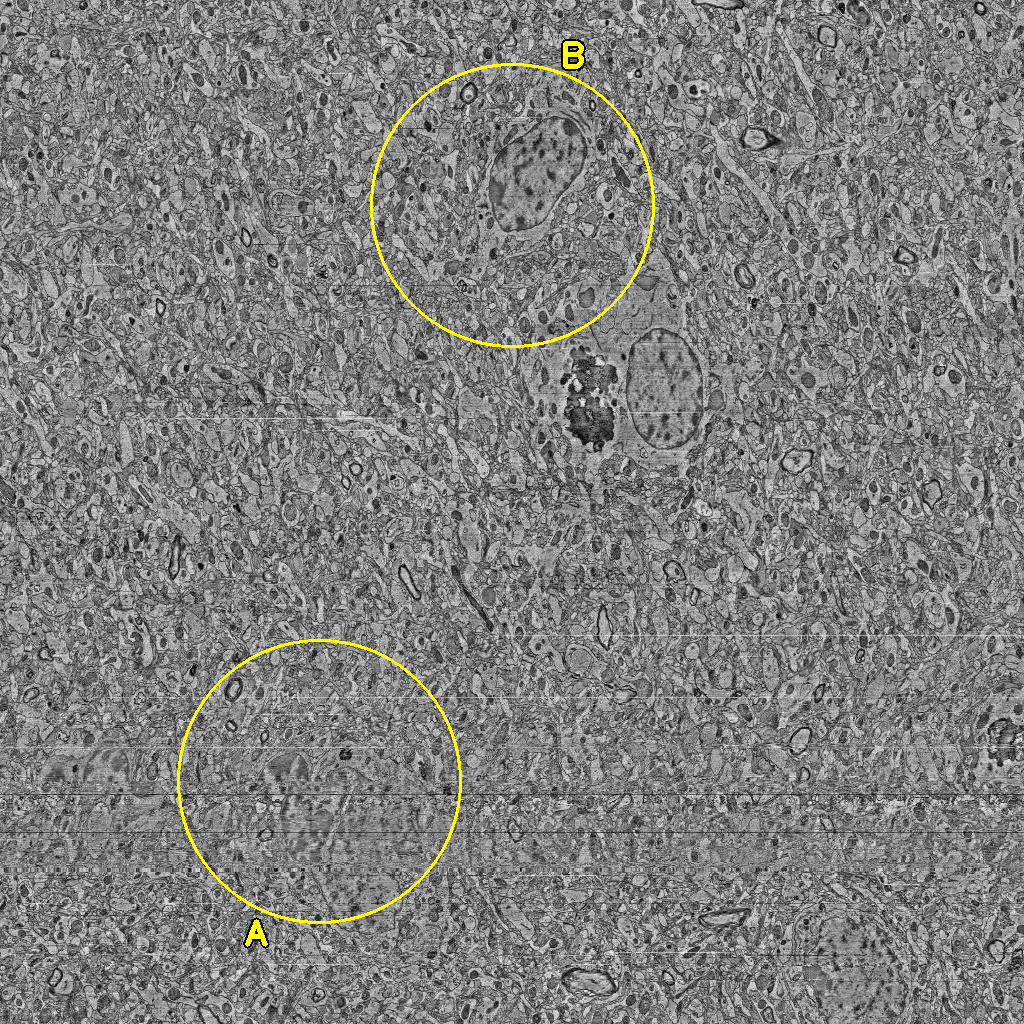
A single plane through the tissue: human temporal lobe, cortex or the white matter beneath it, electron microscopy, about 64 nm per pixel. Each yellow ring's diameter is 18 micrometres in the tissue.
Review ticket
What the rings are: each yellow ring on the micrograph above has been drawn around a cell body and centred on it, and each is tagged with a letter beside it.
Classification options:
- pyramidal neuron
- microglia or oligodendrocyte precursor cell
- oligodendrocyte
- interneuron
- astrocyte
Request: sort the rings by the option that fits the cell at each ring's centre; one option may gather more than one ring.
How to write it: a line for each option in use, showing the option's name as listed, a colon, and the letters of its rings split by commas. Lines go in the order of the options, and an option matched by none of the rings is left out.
microglia or oligodendrocyte precursor cell: B
oligodendrocyte: A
